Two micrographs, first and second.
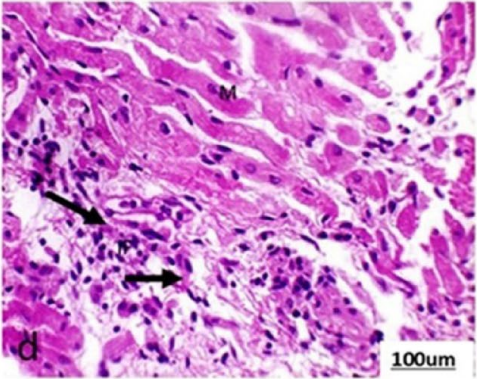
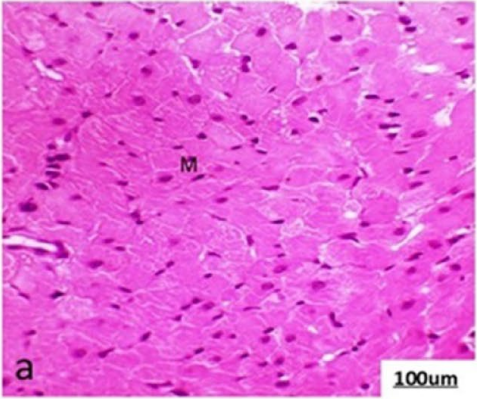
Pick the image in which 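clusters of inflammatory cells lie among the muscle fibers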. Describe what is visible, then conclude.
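The first image. First image: many small dark round nuclei crowd a loose area between separated fibers.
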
